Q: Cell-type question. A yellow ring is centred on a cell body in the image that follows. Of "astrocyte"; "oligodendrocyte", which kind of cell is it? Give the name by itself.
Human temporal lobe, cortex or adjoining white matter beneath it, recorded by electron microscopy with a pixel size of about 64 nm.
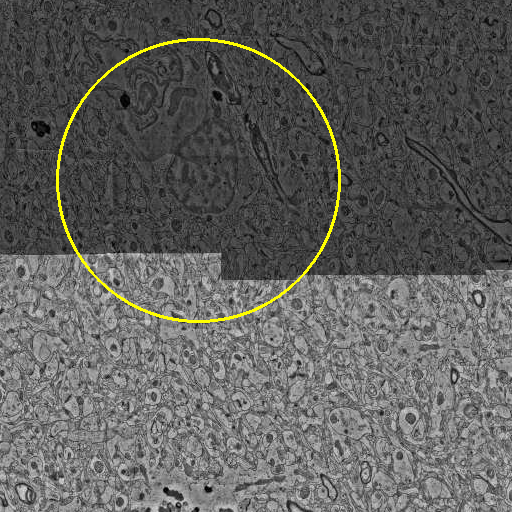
oligodendrocyte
